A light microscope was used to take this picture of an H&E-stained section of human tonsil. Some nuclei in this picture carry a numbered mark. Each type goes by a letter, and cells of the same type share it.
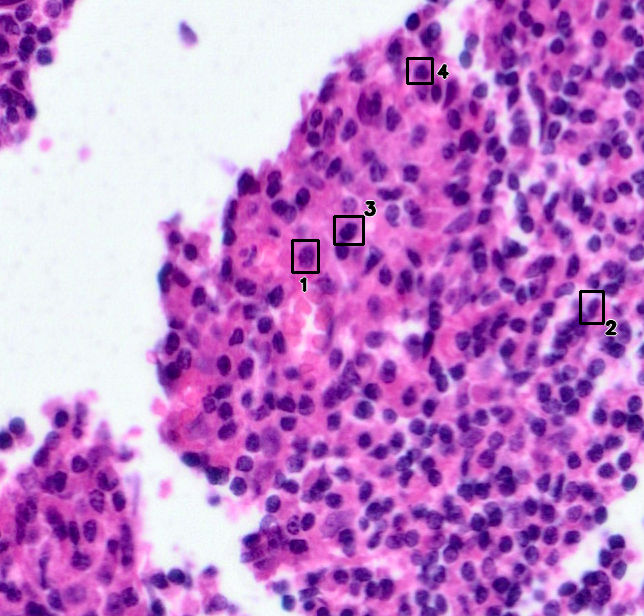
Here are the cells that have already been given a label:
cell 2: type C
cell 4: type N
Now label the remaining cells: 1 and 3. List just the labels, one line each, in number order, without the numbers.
type N
type N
